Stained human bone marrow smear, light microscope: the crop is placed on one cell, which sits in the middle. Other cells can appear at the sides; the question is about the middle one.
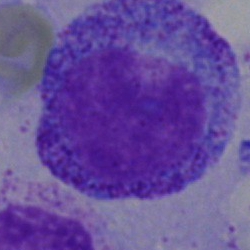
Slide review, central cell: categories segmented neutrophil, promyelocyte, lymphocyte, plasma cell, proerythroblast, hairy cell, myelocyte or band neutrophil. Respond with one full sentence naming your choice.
At the middle of the frame sits a promyelocyte.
